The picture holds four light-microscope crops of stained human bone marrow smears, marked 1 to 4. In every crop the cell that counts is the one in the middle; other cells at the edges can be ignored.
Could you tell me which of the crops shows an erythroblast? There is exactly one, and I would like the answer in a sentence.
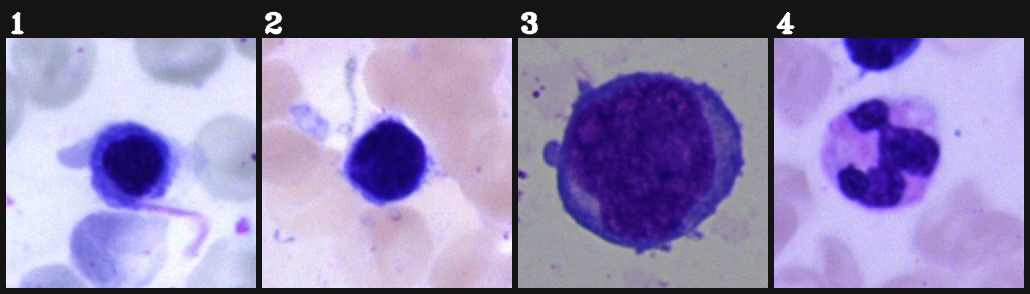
The one crop that shows an erythroblast is crop 1.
